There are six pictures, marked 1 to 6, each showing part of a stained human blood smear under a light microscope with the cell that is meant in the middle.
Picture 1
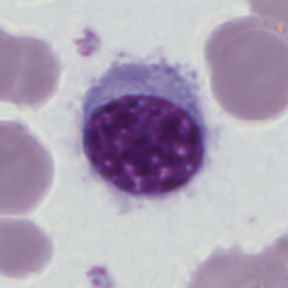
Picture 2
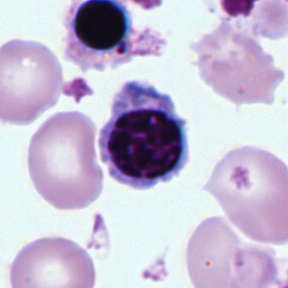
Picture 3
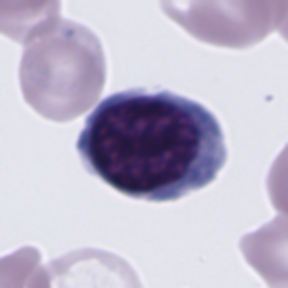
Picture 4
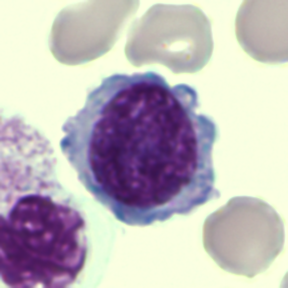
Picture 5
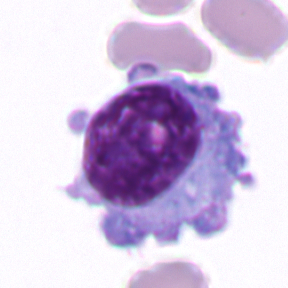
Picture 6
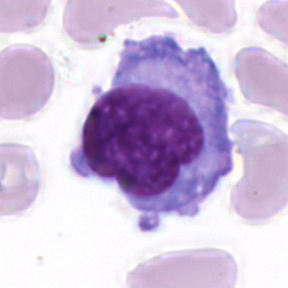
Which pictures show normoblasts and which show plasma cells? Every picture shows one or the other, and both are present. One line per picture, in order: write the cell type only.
plasma cell
normoblast
normoblast
plasma cell
plasma cell
plasma cell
